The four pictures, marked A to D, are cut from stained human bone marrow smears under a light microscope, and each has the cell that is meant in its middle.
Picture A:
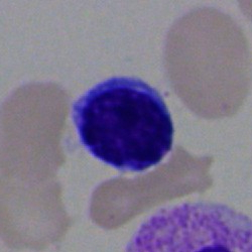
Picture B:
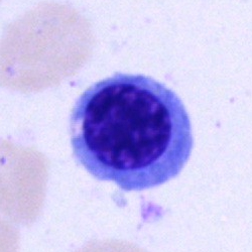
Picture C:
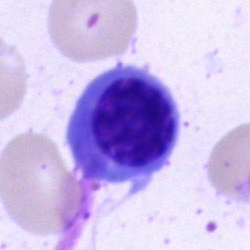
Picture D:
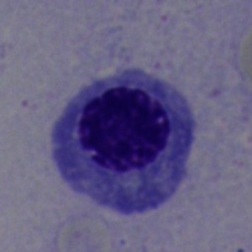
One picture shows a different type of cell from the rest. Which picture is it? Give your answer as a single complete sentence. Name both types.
Picture A differs, because its cell is a lymphocyte and the rest are erythroblasts.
